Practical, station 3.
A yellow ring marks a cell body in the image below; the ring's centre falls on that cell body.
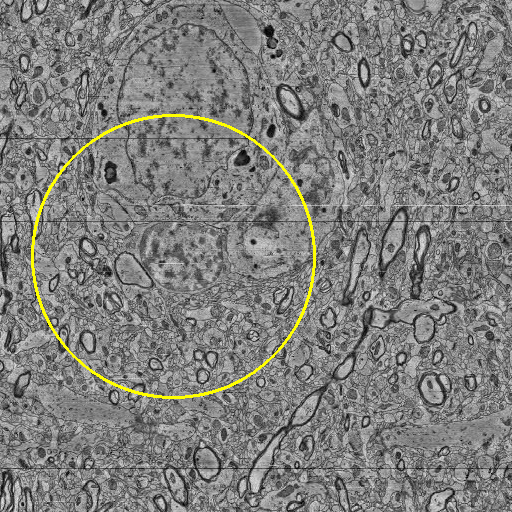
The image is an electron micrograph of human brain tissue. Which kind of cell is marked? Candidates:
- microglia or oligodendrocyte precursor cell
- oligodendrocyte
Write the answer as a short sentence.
The marked cell body is that of an oligodendrocyte.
